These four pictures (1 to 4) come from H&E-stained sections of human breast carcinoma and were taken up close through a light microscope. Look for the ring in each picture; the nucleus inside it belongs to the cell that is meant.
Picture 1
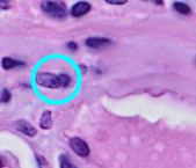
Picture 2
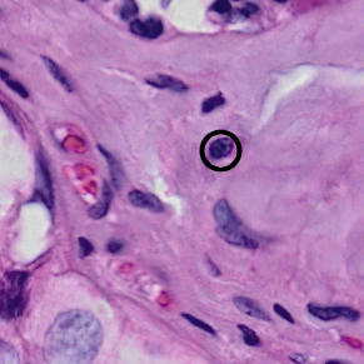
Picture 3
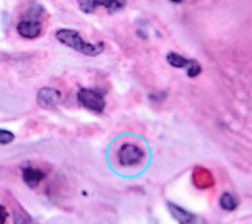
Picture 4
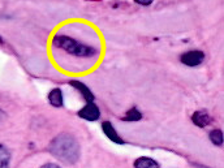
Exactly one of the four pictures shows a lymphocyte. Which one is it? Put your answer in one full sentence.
Picture 1 is the one that shows the lymphocyte.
